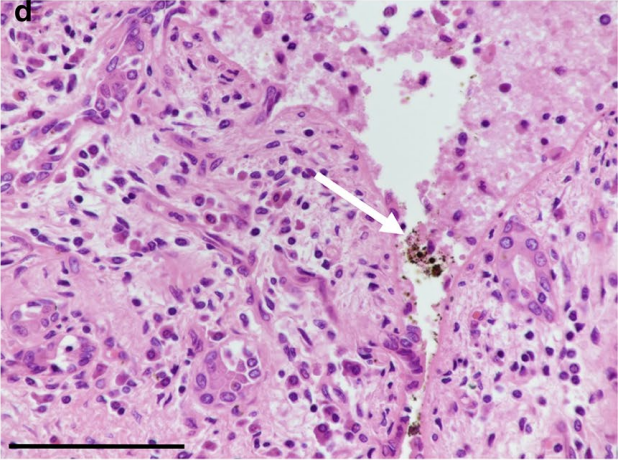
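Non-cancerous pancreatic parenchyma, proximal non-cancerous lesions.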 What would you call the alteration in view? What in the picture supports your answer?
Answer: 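Many small round dark nuclei scattered through the stroma. Stroma is loose and cellular between epithelial structures. The answer: Marked inflammatory reaction.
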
